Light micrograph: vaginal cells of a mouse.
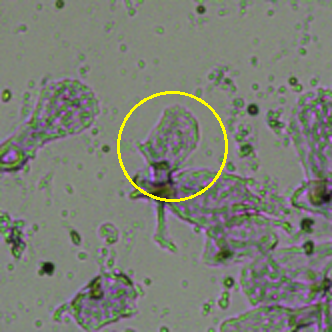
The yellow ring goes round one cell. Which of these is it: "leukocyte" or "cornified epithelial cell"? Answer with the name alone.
cornified epithelial cell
